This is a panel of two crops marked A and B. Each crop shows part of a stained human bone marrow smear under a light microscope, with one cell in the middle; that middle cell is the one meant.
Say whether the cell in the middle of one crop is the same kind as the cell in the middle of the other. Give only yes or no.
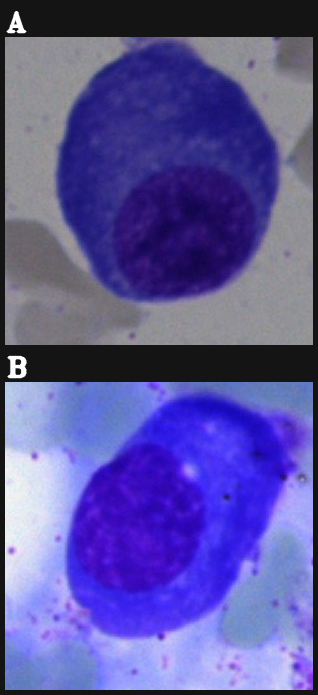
yes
